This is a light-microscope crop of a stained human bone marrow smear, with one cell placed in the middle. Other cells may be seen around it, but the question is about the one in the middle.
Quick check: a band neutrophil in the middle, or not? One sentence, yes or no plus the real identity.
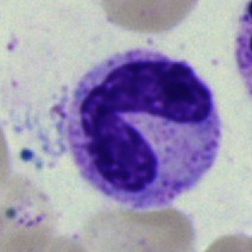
Yes, that middle cell in the crop is a band neutrophil.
